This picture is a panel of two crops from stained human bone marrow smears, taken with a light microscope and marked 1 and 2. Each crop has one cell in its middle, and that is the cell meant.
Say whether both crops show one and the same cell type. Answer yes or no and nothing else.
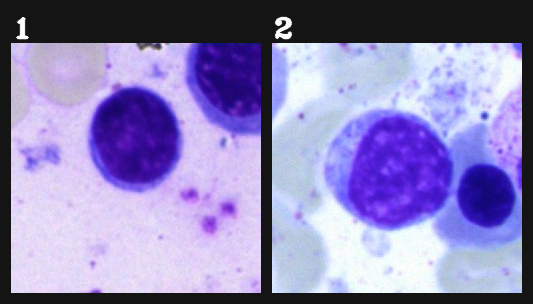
yes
